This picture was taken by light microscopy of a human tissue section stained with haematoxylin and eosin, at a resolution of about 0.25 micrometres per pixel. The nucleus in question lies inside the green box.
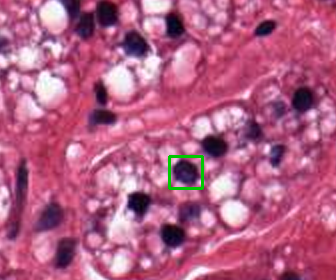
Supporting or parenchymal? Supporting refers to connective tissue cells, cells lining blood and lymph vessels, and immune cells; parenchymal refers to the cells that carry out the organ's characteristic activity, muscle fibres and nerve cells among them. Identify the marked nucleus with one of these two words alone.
parenchymal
